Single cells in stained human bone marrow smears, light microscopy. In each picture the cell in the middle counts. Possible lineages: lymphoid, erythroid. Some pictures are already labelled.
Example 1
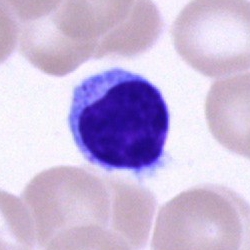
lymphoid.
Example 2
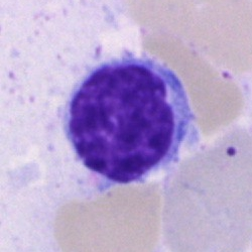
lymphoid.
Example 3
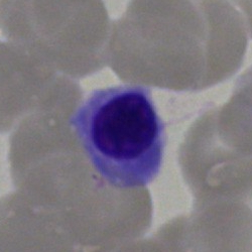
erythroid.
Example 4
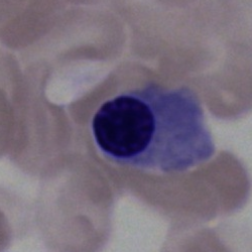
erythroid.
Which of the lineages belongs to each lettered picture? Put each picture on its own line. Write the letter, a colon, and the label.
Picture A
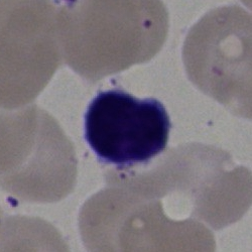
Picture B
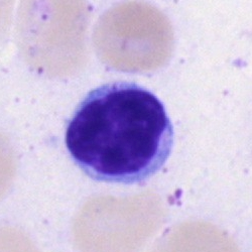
A: lymphoid.
B: lymphoid.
